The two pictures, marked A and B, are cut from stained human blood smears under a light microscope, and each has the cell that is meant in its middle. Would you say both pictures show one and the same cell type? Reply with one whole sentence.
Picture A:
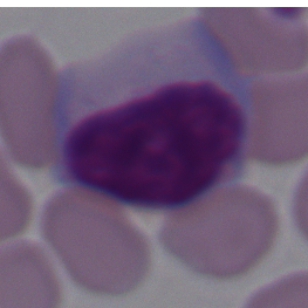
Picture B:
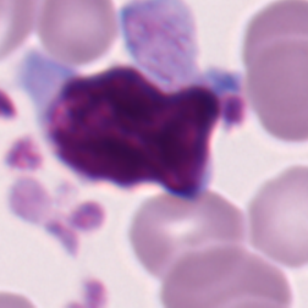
Yes, the two pictures both show typical lymphocytes.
